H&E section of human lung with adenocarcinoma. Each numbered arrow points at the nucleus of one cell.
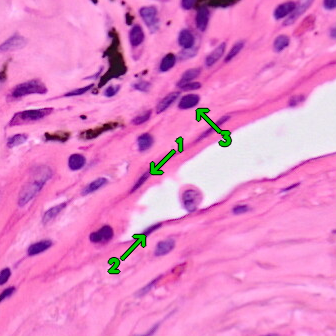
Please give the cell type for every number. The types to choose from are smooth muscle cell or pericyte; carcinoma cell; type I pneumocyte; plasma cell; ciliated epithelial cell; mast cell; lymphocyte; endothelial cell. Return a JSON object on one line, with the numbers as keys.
{"1": "endothelial cell", "2": "endothelial cell", "3": "lymphocyte"}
